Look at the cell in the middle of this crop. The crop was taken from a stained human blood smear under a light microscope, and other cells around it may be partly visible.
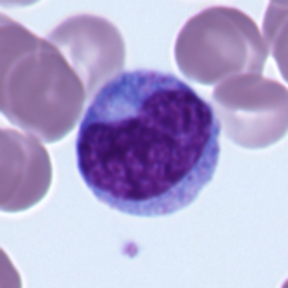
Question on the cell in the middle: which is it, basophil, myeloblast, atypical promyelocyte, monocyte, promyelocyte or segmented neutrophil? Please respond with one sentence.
The cell at the centre of the field is a monocyte.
